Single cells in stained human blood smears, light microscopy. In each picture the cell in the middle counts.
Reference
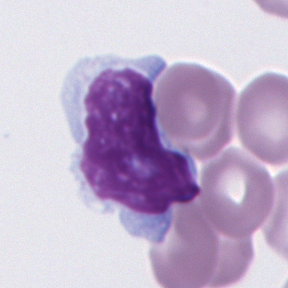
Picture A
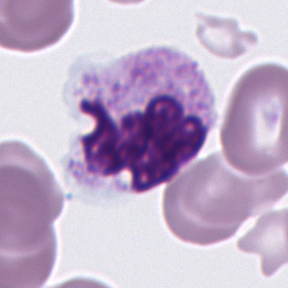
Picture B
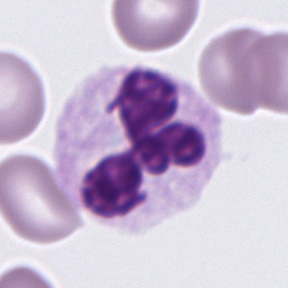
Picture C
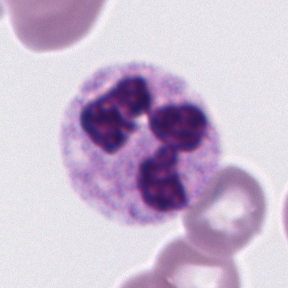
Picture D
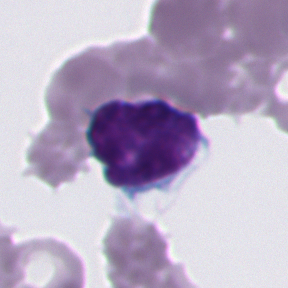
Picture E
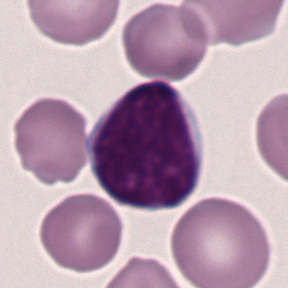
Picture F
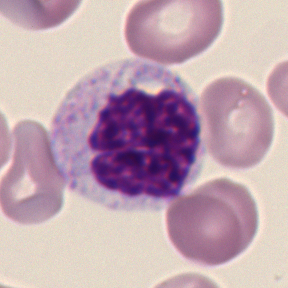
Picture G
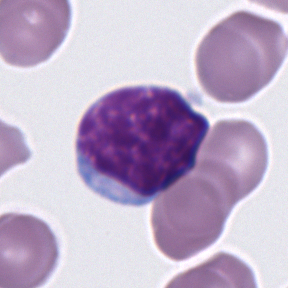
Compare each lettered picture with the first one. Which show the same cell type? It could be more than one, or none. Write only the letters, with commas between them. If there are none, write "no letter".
D, E, G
